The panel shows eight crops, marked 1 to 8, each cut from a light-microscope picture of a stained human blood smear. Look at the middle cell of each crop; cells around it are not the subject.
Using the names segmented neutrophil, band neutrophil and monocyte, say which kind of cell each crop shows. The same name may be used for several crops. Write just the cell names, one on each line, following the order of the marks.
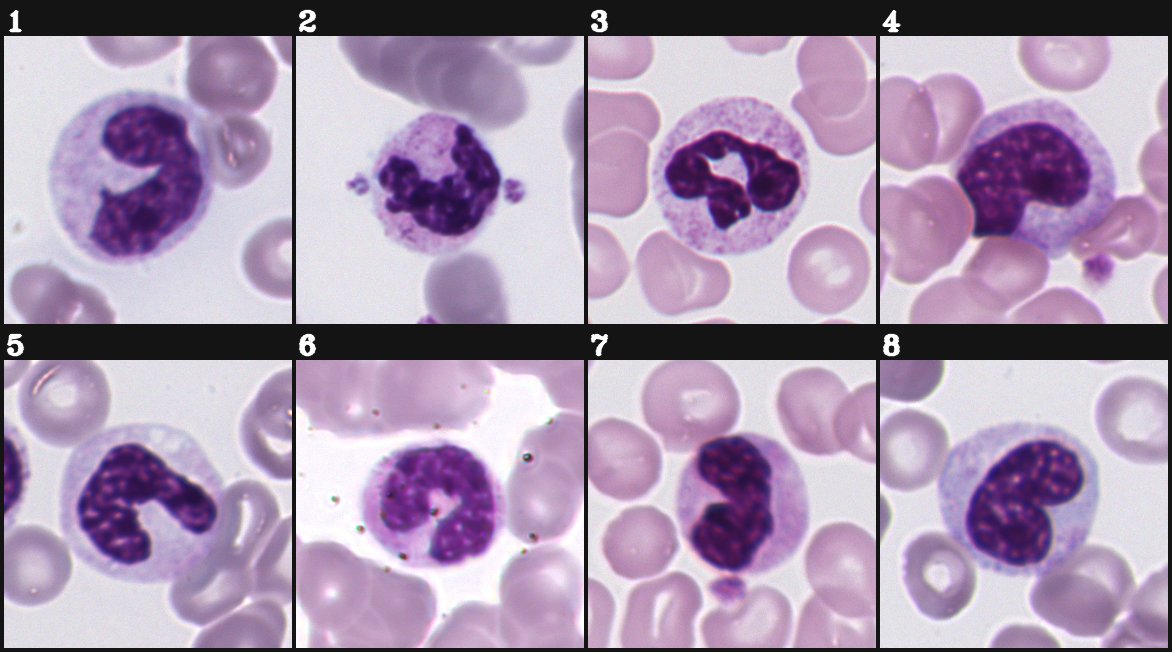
band neutrophil
segmented neutrophil
segmented neutrophil
band neutrophil
band neutrophil
band neutrophil
segmented neutrophil
band neutrophil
